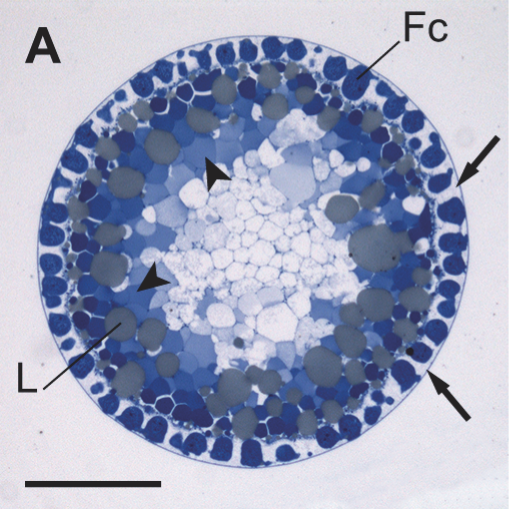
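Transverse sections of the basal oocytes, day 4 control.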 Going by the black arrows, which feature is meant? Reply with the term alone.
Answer: Intercellular gaps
